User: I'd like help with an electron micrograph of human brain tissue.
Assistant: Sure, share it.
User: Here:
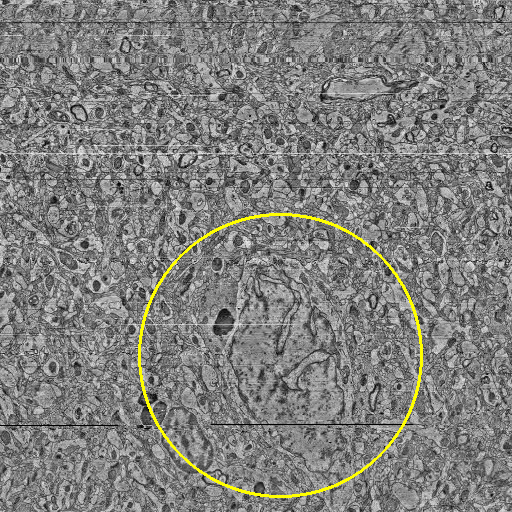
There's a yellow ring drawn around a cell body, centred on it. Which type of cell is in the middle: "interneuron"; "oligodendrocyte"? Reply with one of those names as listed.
interneuron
